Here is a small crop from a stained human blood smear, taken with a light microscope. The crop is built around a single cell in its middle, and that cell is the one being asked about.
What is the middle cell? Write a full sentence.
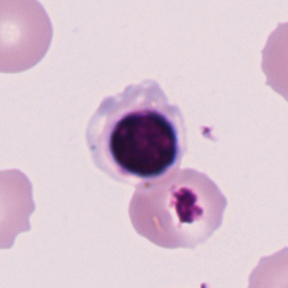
The centrally positioned cell in the crop represents a normoblast.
